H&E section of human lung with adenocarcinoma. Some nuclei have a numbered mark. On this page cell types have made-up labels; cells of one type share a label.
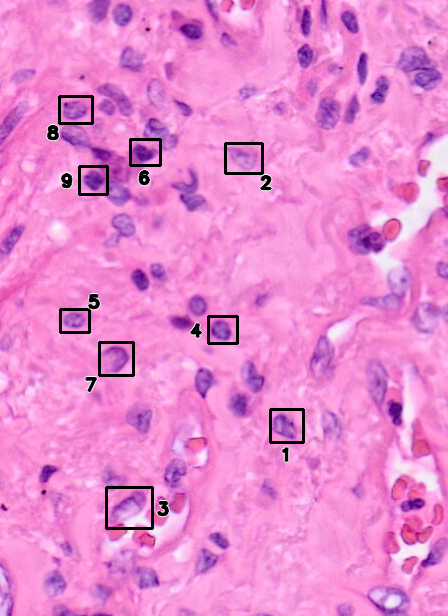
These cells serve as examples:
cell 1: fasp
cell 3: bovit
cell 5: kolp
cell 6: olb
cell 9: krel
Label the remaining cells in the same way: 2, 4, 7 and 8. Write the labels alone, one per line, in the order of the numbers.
fasp
kolp
fasp
kolp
